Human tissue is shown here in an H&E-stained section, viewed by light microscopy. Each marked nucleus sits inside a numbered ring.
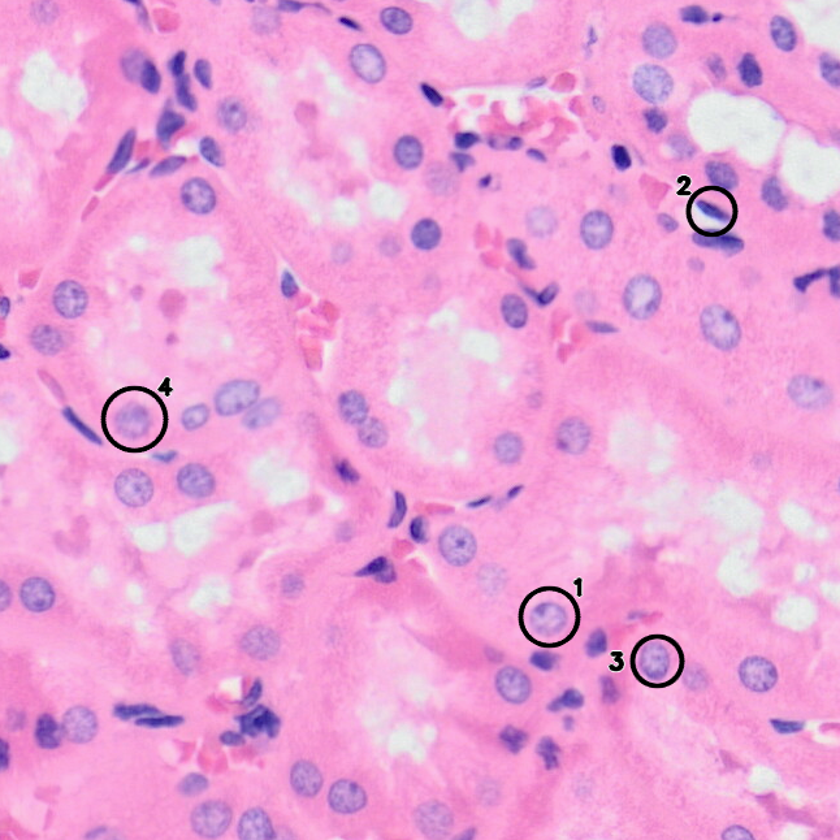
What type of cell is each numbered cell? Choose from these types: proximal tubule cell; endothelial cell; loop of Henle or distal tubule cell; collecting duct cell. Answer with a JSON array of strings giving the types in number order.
["proximal tubule cell", "endothelial cell", "proximal tubule cell", "proximal tubule cell"]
